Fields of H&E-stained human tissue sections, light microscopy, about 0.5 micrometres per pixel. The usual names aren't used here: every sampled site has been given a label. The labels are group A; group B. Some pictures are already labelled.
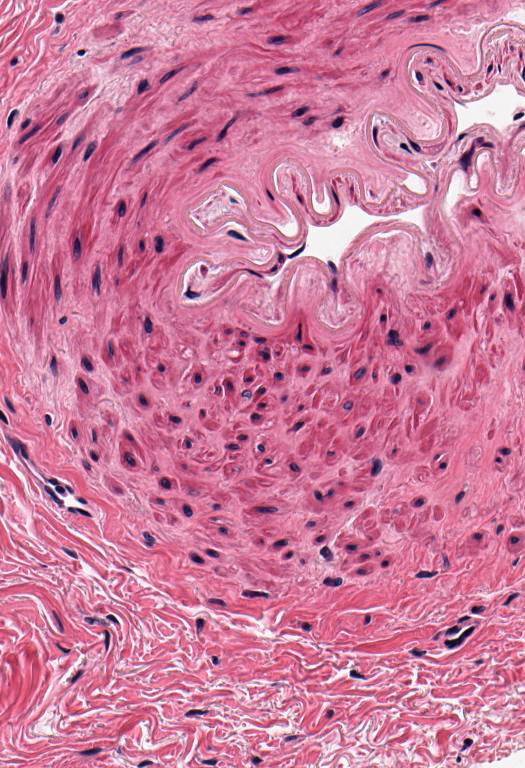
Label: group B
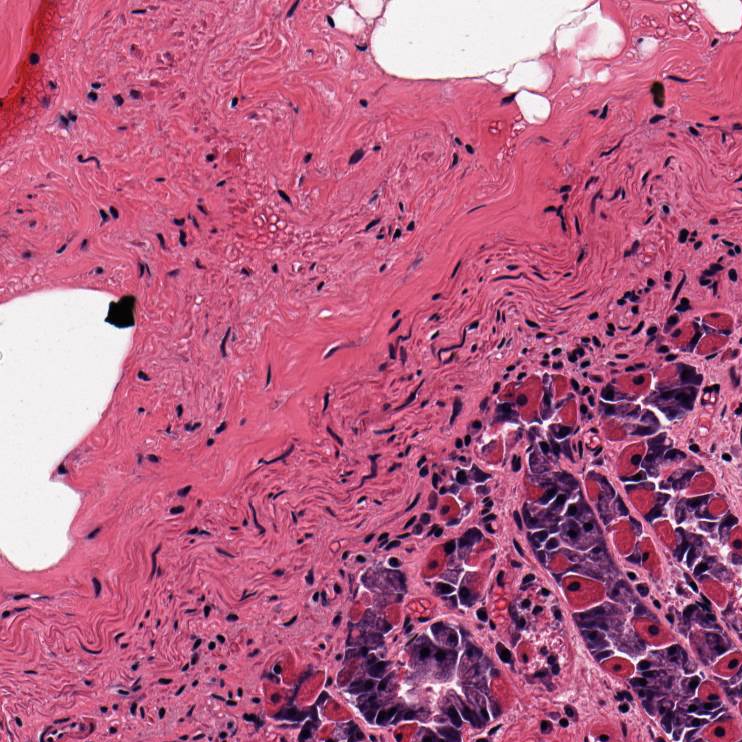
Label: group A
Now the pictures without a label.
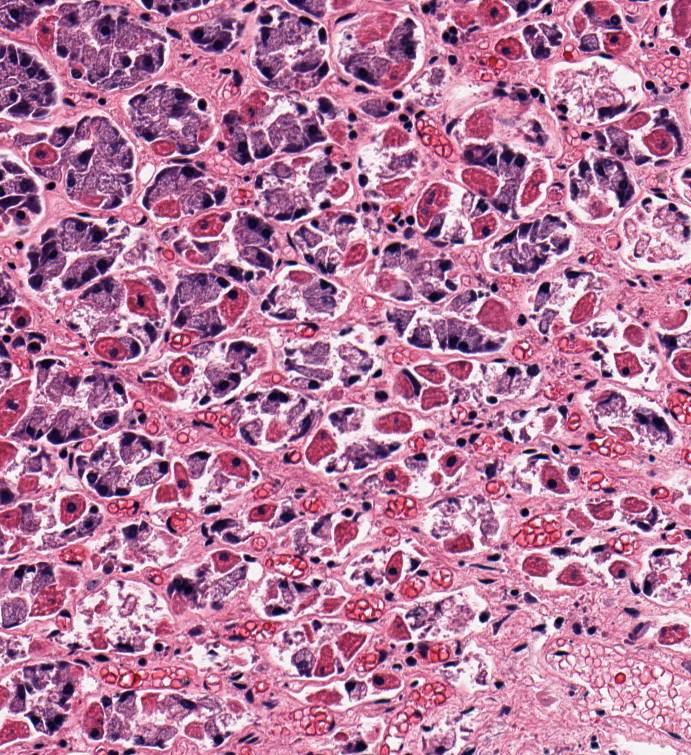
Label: group A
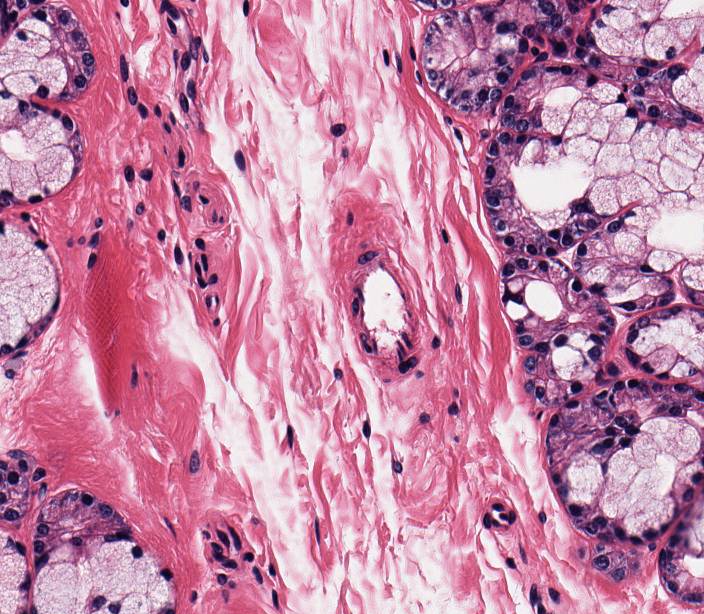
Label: group B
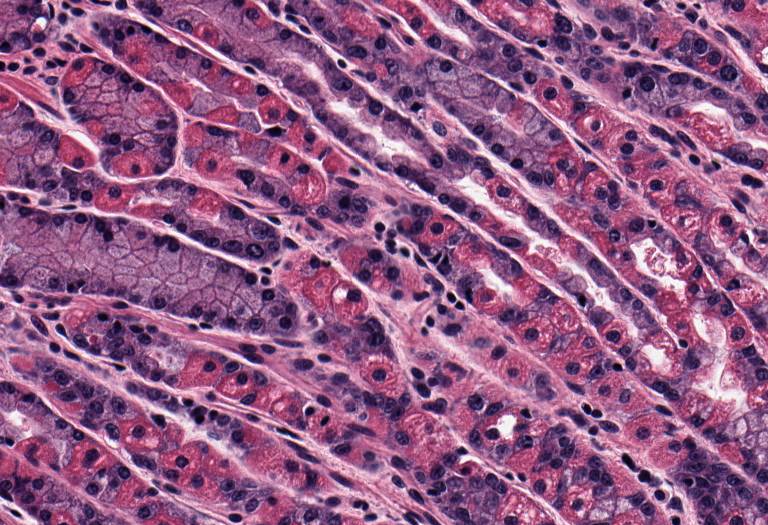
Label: group A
